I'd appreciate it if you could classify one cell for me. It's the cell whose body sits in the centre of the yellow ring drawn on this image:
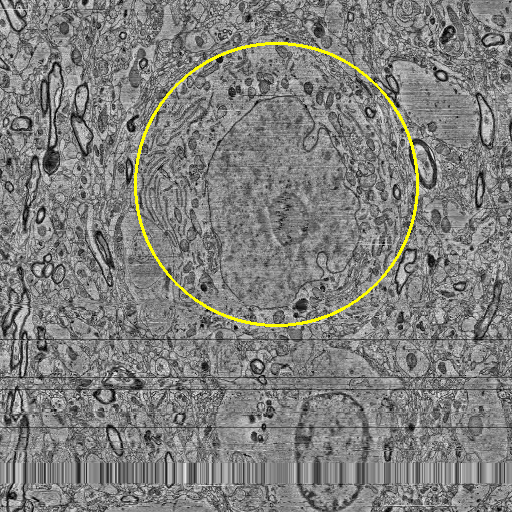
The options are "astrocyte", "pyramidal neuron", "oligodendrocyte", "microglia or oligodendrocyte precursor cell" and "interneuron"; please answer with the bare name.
interneuron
